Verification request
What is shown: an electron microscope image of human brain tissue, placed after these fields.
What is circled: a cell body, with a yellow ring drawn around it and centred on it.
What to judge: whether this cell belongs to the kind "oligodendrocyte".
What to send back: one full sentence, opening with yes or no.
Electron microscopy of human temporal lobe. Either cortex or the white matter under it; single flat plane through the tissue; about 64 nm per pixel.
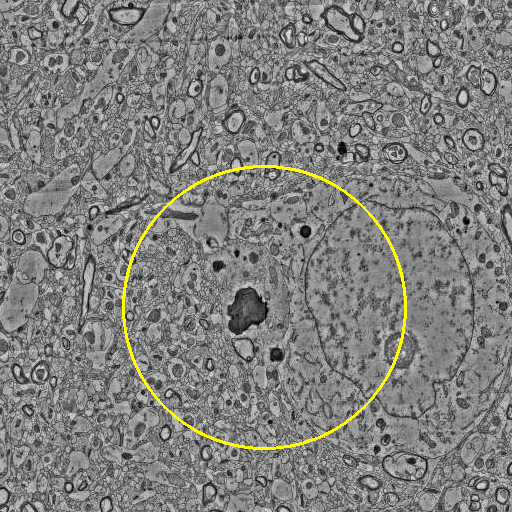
Yes, the cell on which the yellow ring is centred in the picture is of that kind.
